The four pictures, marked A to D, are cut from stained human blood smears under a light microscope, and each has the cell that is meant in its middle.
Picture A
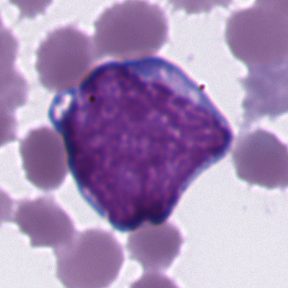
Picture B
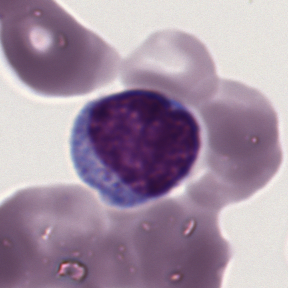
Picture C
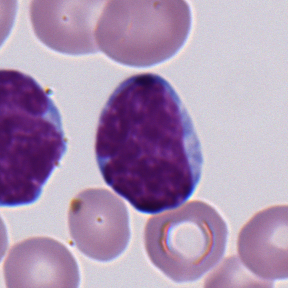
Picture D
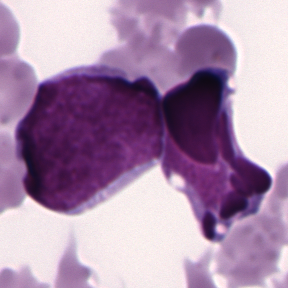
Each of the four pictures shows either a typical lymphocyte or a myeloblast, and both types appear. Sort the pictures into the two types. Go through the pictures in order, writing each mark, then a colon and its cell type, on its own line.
A: myeloblast
B: typical lymphocyte
C: typical lymphocyte
D: myeloblast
